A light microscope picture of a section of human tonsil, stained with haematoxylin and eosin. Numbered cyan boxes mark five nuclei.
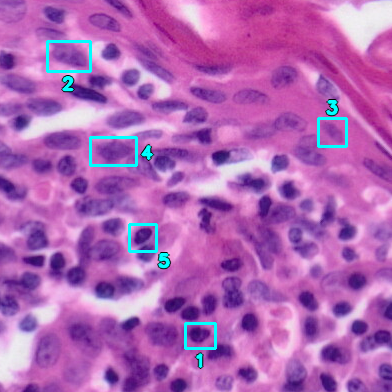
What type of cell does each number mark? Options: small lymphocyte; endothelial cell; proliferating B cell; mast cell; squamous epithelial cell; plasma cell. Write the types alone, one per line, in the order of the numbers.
plasma cell
squamous epithelial cell
squamous epithelial cell
squamous epithelial cell
plasma cell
